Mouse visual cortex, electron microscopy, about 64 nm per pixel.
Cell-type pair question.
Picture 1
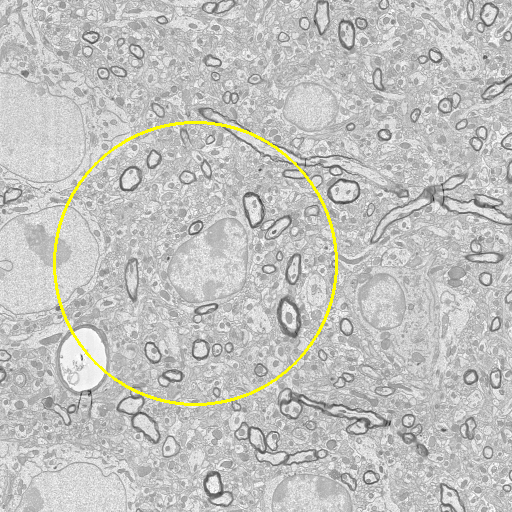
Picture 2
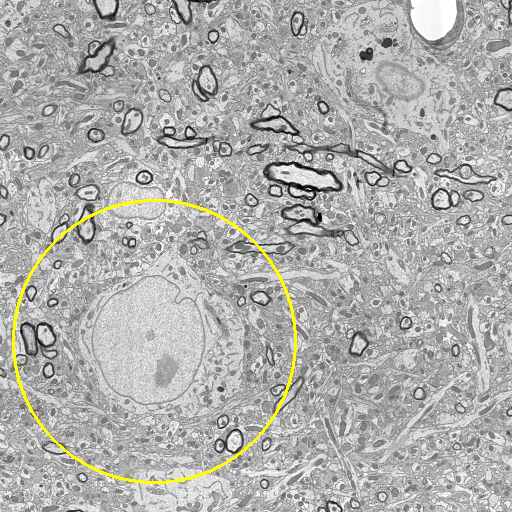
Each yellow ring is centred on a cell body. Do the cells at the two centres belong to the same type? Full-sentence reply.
No, the two cells belong to two types.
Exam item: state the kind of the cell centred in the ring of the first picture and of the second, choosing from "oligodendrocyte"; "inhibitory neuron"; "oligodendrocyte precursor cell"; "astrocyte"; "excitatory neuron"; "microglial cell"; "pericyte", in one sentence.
The first picture shows an oligodendrocyte at the ring centre and the second shows an excitatory neuron.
